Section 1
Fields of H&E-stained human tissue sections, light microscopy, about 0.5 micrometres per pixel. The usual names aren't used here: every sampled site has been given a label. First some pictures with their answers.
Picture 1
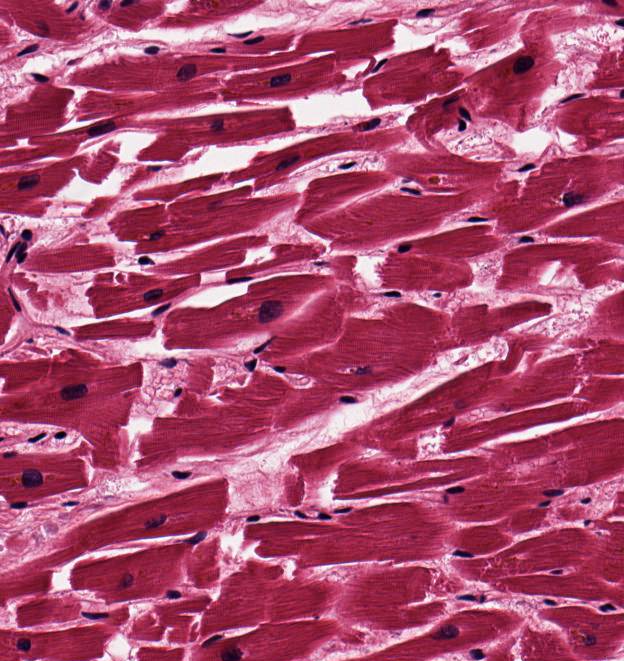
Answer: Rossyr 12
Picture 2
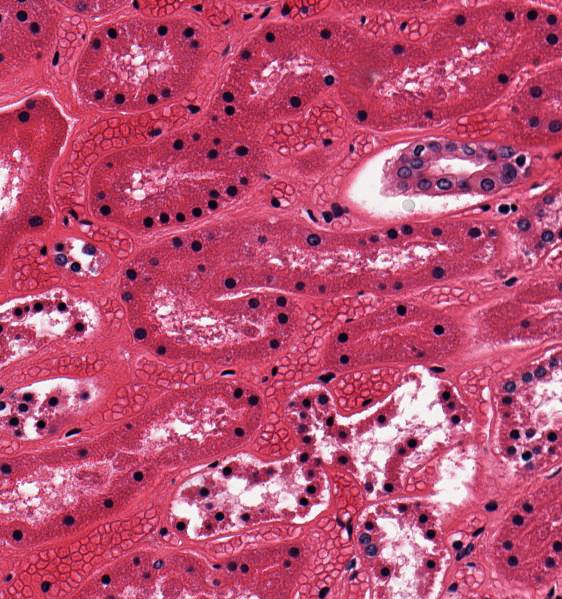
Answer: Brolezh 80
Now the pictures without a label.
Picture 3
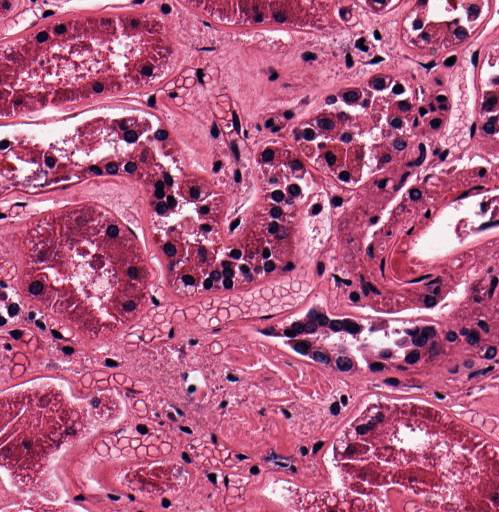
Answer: Brolezh 80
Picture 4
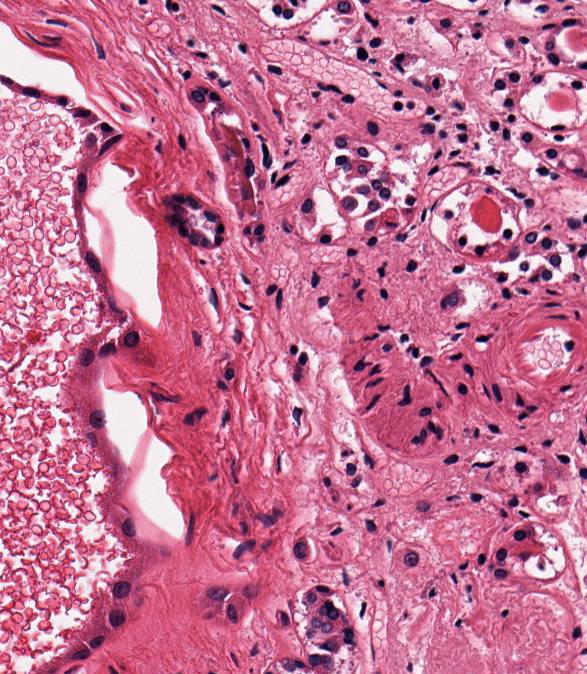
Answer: Brolezh 80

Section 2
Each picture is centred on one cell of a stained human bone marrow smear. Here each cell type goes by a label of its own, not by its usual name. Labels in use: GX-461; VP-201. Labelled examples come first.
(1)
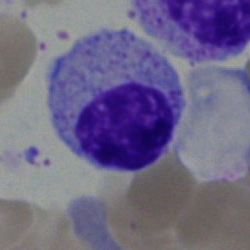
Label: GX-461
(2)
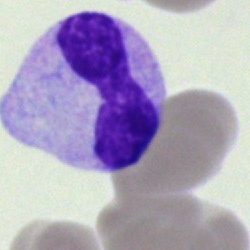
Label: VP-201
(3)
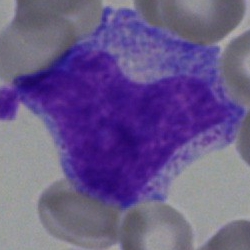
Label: GX-461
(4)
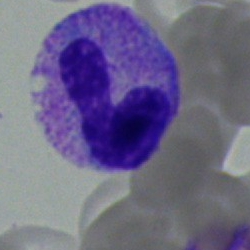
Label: VP-201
